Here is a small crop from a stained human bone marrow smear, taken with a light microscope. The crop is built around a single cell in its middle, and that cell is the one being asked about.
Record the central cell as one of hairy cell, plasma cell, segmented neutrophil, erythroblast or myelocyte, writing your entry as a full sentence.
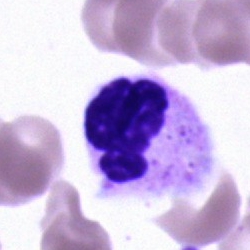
As for the cell in the middle, it is a segmented neutrophil.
